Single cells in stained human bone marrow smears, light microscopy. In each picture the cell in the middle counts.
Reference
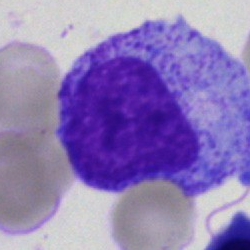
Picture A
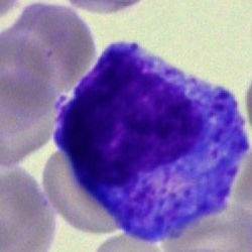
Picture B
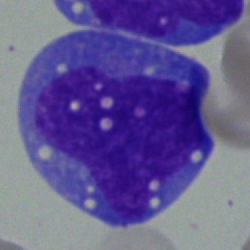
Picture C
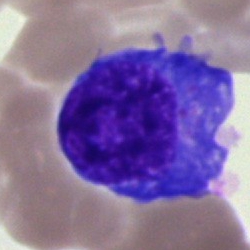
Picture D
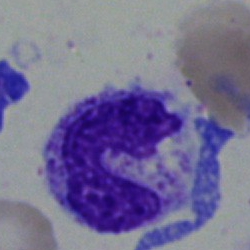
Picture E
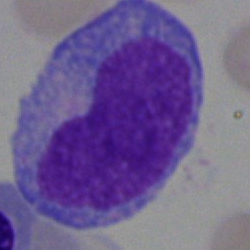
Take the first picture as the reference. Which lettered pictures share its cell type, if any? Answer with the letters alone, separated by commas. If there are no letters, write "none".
A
